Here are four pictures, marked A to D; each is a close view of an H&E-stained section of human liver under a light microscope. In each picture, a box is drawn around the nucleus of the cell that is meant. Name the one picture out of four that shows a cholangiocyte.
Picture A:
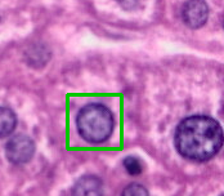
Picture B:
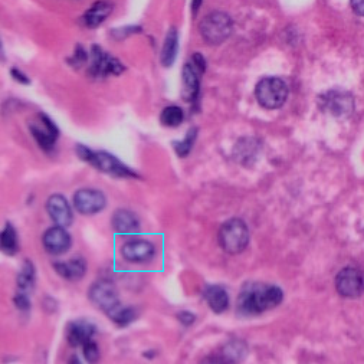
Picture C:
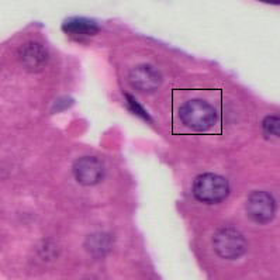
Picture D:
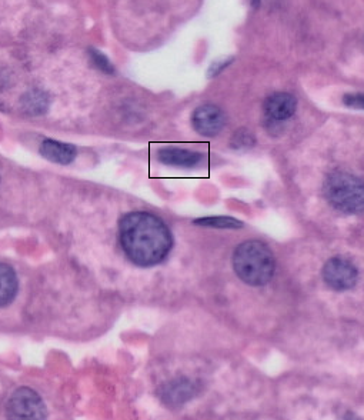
B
